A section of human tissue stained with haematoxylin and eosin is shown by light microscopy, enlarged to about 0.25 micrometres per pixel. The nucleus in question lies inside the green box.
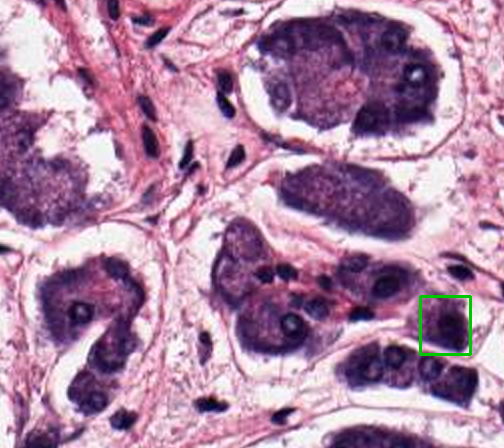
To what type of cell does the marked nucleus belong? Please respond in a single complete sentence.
The mark in this picture falls on the nucleus of a pancreatic acinar cell.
